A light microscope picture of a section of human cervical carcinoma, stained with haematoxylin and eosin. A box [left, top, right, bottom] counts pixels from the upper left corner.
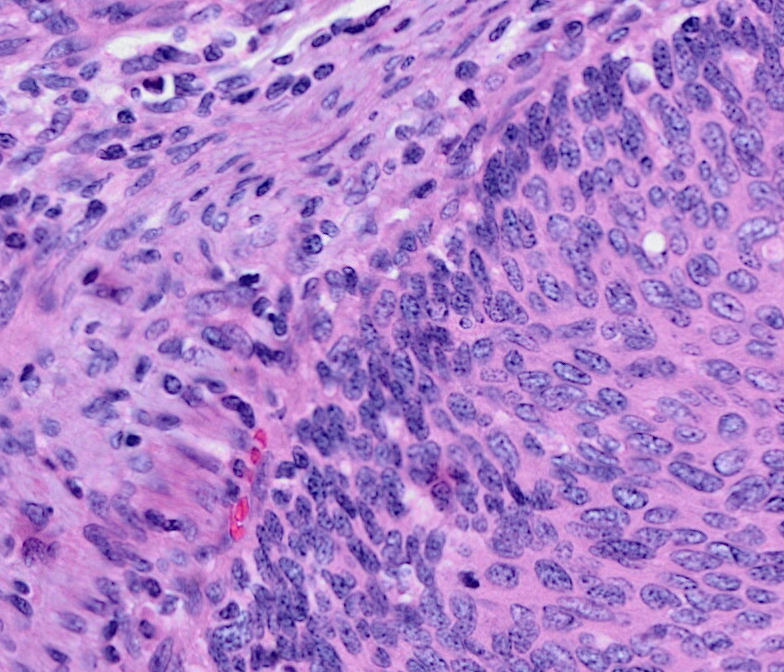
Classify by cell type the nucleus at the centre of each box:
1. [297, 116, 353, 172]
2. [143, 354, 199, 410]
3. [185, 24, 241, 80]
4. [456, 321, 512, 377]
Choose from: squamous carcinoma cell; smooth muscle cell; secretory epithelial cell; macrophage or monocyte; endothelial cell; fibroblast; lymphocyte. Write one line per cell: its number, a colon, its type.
1: smooth muscle cell
2: lymphocyte
3: lymphocyte
4: squamous carcinoma cell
